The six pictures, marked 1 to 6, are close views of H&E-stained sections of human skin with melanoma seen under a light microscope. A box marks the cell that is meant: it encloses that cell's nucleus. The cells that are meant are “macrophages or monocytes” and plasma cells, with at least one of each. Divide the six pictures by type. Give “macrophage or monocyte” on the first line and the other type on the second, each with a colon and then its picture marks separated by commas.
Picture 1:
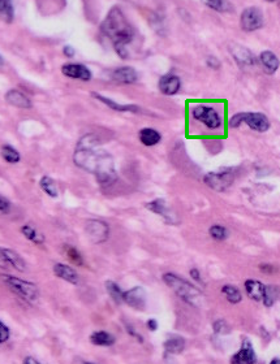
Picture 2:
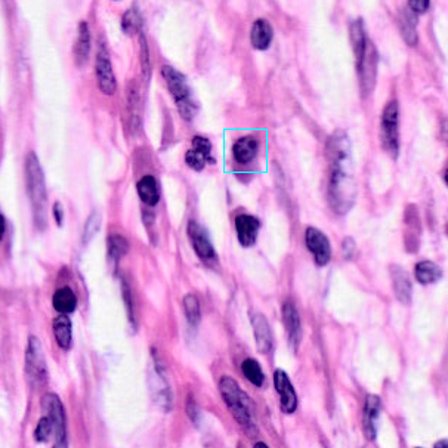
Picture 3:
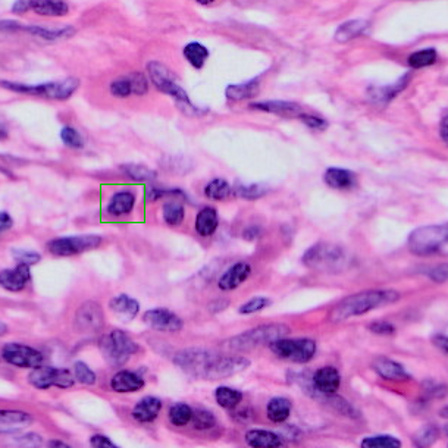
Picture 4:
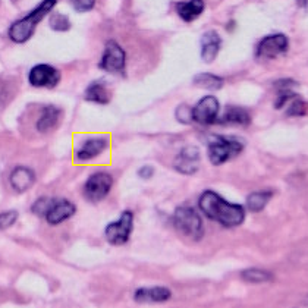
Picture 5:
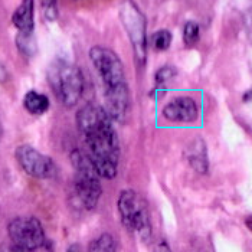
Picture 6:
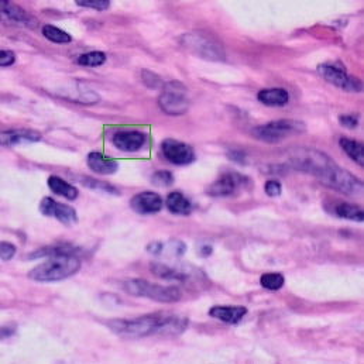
macrophage or monocyte: 4, 5
plasma cell: 1, 2, 3, 6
